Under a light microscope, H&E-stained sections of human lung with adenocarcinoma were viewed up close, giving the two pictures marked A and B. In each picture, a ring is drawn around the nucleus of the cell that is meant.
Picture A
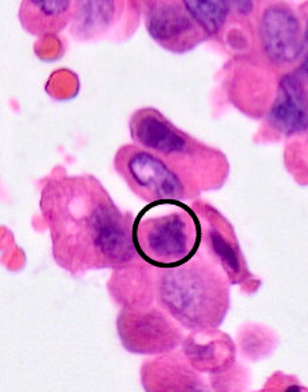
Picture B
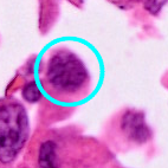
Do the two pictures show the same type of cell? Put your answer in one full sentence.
Yes, they are the same type: both are carcinoma cells.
